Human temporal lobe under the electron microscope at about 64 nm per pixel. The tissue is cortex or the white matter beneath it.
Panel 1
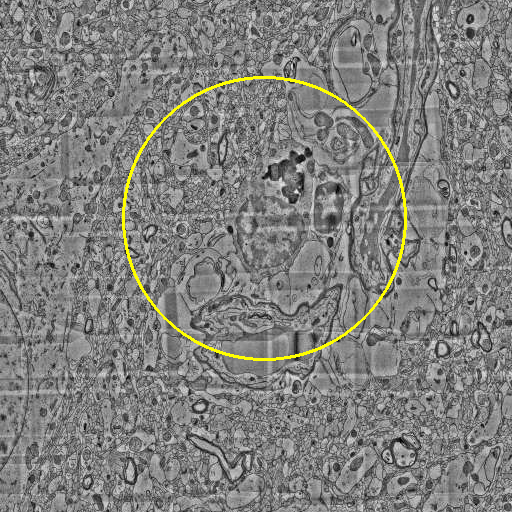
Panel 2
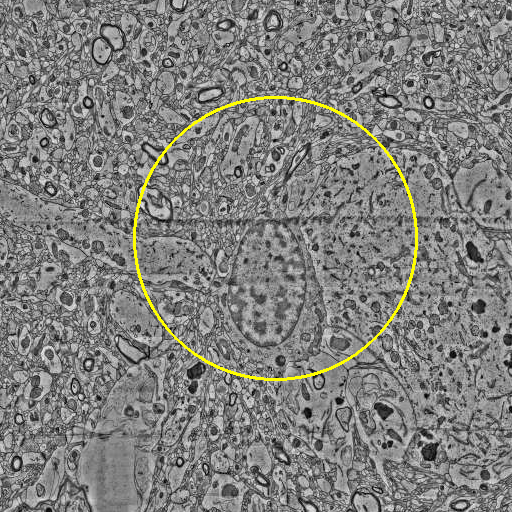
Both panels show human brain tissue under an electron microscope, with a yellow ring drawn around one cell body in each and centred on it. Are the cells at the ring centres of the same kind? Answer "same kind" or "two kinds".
same kind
